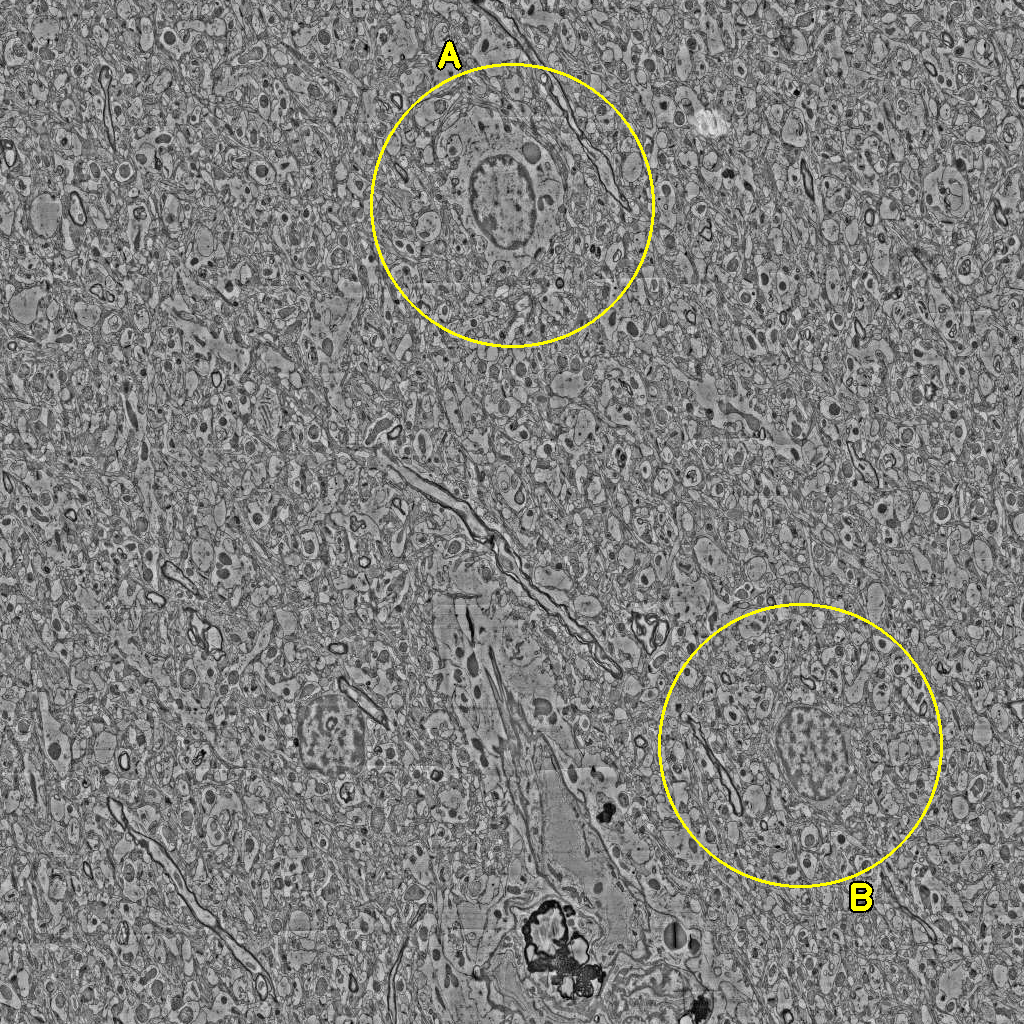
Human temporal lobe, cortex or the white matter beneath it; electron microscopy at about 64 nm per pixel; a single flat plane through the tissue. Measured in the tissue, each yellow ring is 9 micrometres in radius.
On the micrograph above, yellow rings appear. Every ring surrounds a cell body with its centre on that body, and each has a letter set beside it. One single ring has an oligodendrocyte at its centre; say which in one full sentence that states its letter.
The answer is ring B, whose centre lies on the cell asked for.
